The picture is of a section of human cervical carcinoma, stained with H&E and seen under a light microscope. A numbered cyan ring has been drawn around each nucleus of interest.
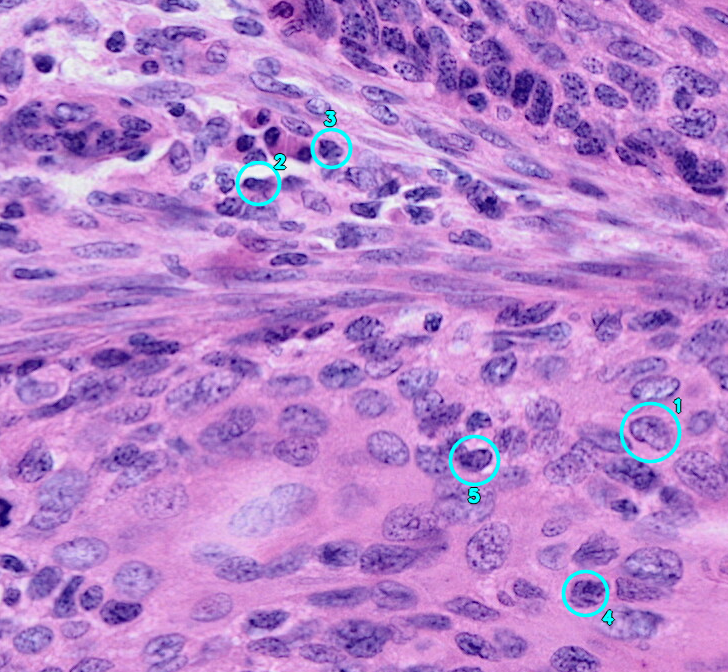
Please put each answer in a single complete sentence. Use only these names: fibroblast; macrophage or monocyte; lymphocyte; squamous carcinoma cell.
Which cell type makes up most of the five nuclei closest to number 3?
Of the five nuclei nearest to number 3, most belong to macrophages or monocytes.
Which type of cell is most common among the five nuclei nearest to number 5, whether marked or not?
Squamous carcinoma cells make up most of the five nuclei closest to number 5.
